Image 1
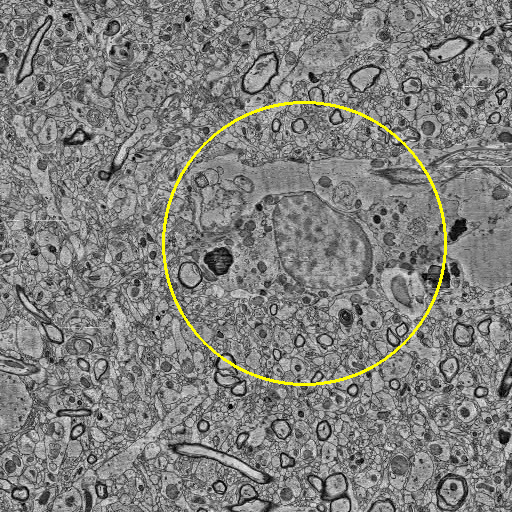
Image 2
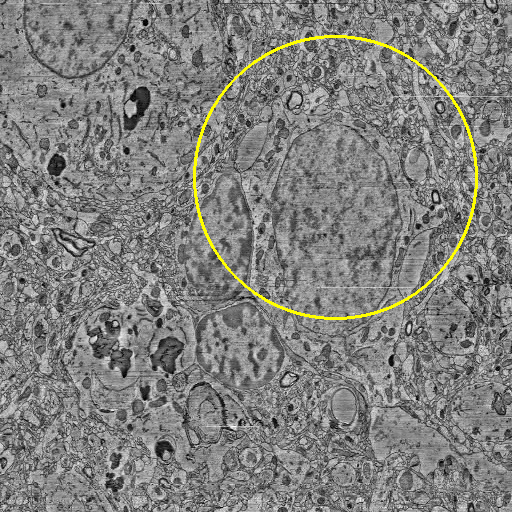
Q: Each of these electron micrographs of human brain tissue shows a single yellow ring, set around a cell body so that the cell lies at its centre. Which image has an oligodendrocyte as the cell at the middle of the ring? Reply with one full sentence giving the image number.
In image 1, the cell lying at the ring's centre is the requested one.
